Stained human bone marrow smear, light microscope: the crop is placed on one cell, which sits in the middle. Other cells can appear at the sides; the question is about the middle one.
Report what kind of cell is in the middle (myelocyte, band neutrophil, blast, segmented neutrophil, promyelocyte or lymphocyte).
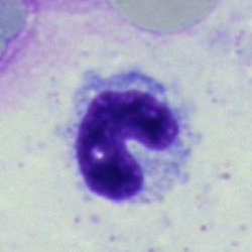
band neutrophil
